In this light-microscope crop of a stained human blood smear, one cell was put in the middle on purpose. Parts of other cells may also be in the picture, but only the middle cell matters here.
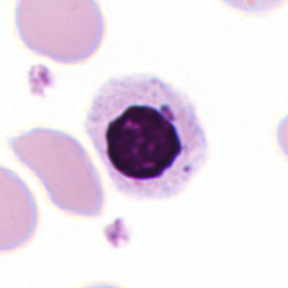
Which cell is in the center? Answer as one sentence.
Standing at the centre of this crop is a normoblast.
